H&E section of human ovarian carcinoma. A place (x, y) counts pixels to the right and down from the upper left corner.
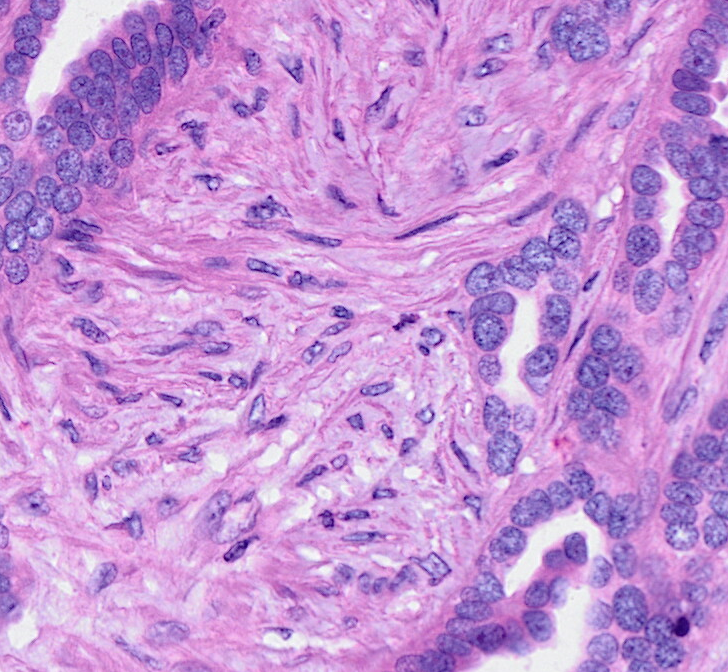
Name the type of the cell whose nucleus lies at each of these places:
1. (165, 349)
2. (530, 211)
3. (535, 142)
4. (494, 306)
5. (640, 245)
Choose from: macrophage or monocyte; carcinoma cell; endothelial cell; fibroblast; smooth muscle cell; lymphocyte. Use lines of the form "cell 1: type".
cell 1: fibroblast
cell 2: fibroblast
cell 3: fibroblast
cell 4: carcinoma cell
cell 5: carcinoma cell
